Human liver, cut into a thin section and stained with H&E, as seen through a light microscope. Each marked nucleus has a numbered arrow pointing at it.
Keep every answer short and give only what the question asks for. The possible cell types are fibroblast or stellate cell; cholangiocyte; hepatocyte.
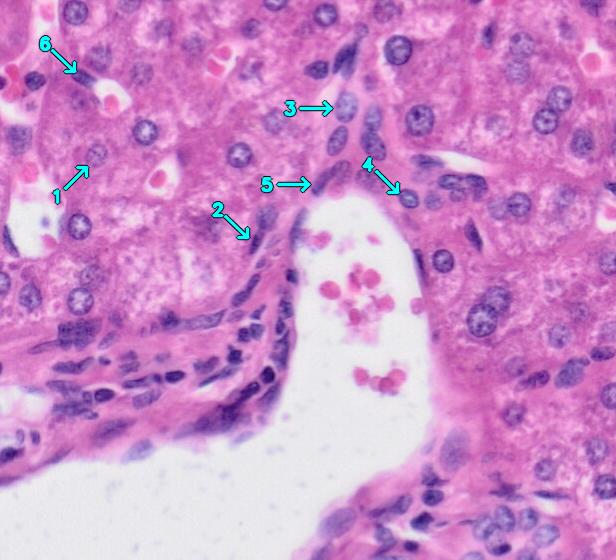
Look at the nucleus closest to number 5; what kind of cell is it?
cholangiocyte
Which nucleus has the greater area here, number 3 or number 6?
3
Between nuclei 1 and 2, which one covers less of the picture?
2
